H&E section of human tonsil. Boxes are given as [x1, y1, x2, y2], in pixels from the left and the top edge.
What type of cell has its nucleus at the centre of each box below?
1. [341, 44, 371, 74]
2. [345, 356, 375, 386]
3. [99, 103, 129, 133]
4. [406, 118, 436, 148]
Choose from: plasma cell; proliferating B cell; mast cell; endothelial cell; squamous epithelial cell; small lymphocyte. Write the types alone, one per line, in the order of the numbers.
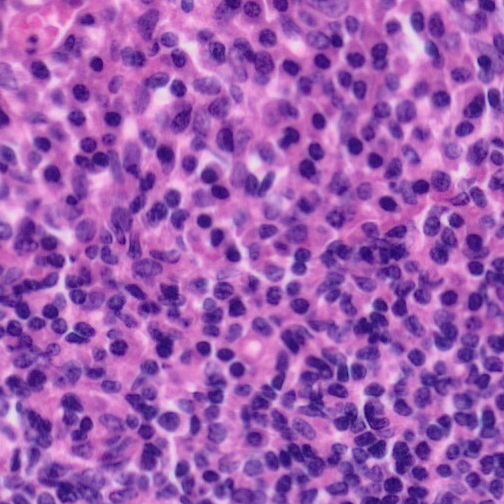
plasma cell
small lymphocyte
plasma cell
plasma cell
